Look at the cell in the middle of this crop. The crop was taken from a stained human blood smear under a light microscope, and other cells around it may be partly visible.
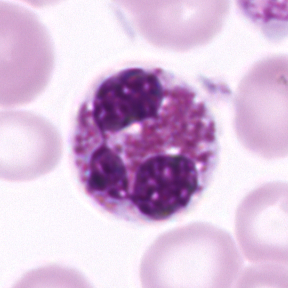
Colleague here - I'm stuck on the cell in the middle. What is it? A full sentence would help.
The cell at the heart of this crop is an eosinophil.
